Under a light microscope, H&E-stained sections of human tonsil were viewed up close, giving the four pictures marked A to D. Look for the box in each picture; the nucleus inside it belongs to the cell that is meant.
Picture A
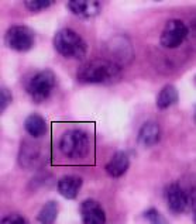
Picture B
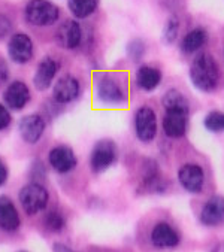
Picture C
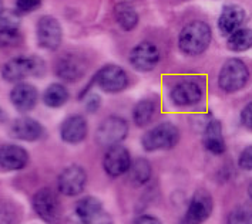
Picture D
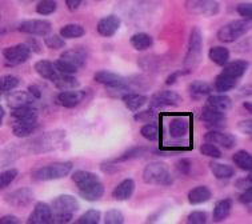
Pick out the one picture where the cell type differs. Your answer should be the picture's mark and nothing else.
D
